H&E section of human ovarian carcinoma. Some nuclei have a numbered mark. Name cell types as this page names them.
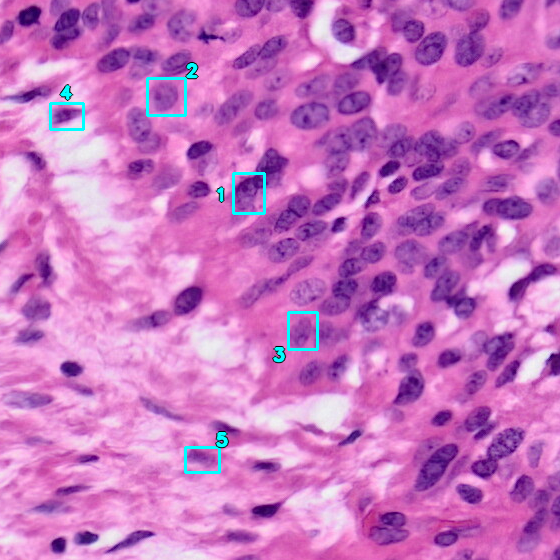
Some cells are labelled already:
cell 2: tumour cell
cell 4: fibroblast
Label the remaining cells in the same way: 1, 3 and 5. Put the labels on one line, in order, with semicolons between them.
tumour cell; tumour cell; fibroblast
